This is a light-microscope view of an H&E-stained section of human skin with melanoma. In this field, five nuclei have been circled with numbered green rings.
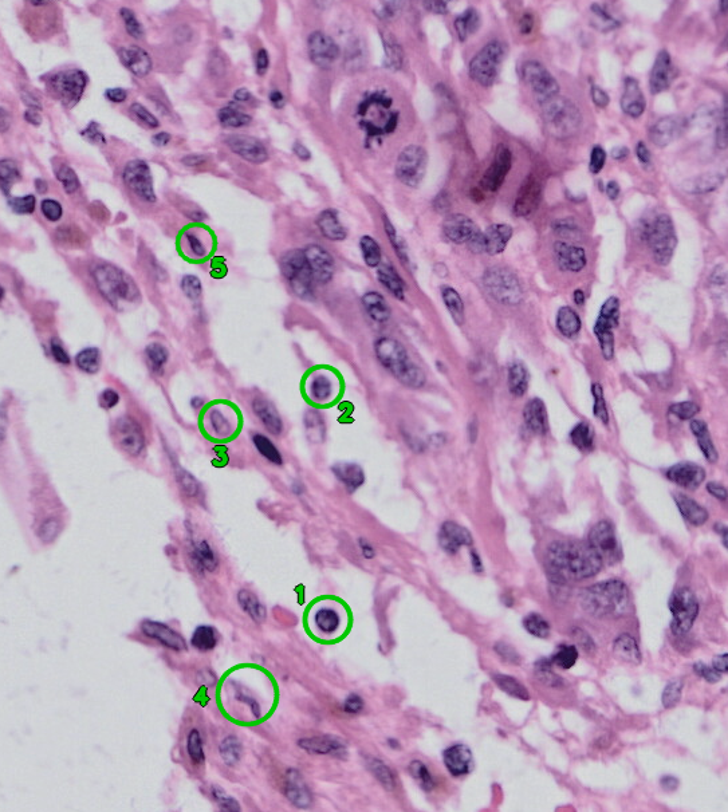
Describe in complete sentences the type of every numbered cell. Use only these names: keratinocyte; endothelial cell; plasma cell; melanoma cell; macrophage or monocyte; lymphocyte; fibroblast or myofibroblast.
Cells 1 and 2 are lymphocytes. Cells 3 and 5 are macrophages or monocytes. Cell 4 is a fibroblast or myofibroblast.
